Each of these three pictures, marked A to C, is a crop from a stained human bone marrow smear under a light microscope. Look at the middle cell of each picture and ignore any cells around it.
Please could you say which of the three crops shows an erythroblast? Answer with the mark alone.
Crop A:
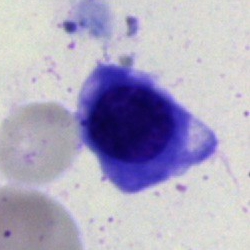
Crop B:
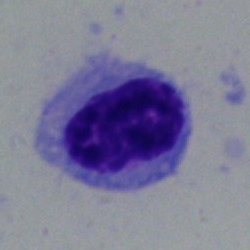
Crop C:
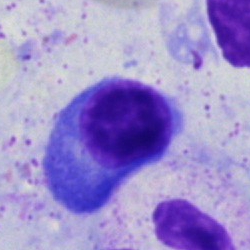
A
